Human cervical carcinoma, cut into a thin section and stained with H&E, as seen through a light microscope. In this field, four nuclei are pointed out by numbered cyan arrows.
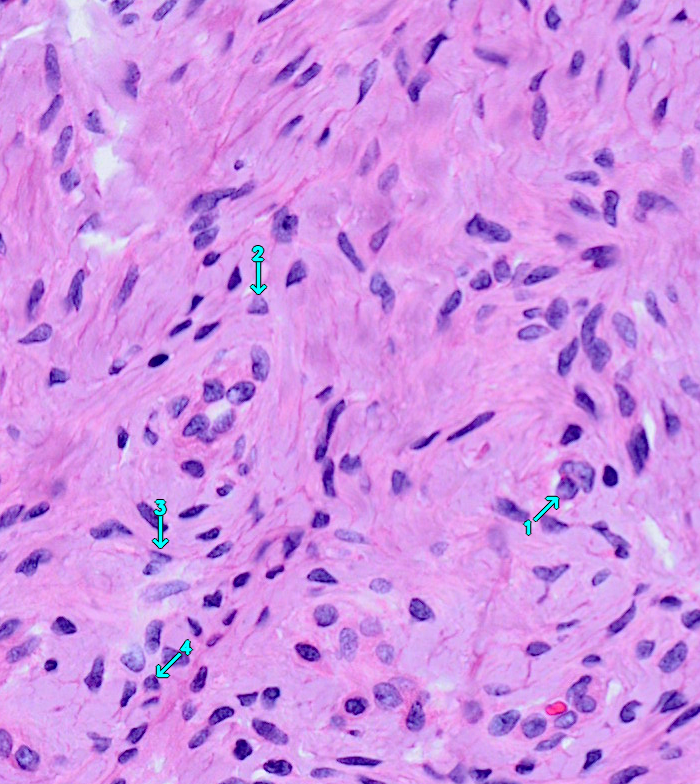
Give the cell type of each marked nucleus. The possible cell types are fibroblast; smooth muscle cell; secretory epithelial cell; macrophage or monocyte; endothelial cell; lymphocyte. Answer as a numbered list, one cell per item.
1. endothelial cell
2. fibroblast
3. fibroblast
4. fibroblast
